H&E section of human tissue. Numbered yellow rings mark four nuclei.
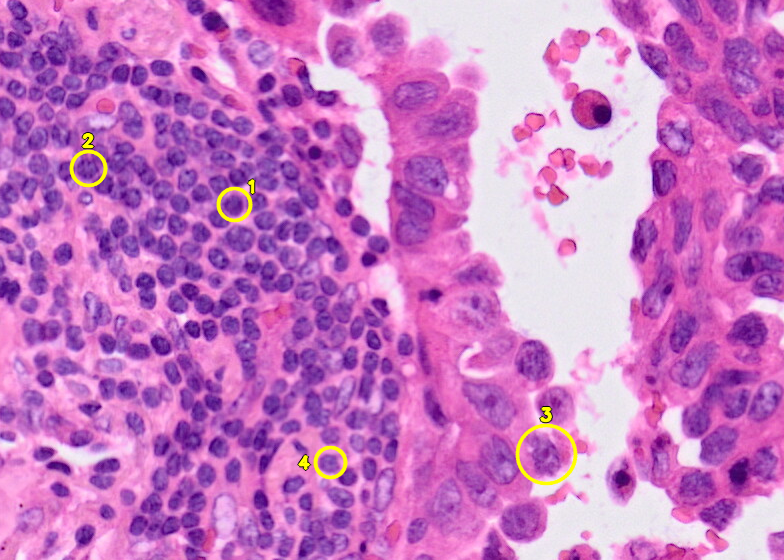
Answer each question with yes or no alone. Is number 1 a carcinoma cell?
no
